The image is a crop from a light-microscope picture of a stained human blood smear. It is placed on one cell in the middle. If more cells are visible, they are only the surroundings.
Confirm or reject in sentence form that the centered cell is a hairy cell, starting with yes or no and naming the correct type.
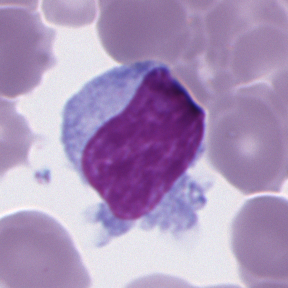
No, the cell in the middle of the crop counts as a typical lymphocyte and not as a hairy cell.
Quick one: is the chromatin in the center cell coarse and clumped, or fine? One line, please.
The chromatin is fine throughout, without coarse clumps.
